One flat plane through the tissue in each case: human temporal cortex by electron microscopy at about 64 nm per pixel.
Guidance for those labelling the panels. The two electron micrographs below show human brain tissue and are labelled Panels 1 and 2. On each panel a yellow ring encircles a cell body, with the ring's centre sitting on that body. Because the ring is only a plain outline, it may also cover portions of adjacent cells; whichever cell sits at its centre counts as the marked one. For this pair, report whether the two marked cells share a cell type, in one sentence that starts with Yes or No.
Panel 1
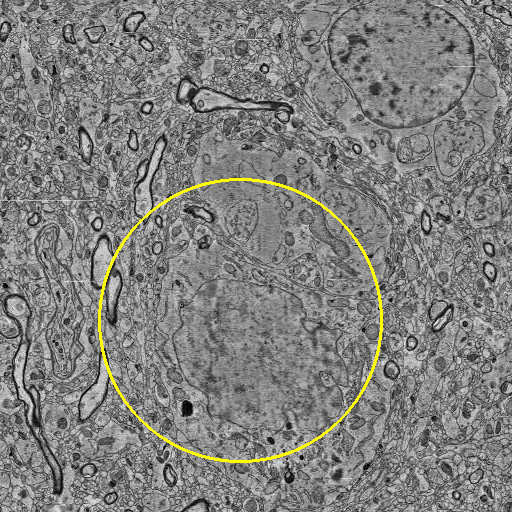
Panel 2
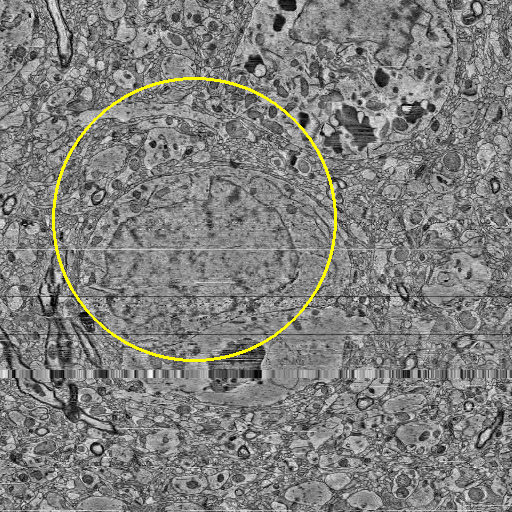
Yes, in Panel 1 and Panel 2 the marked cells at the ring centres share one type.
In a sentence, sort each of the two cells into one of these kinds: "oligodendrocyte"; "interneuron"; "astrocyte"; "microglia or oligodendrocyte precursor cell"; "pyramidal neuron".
The second cell is an interneuron, just as the first is.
